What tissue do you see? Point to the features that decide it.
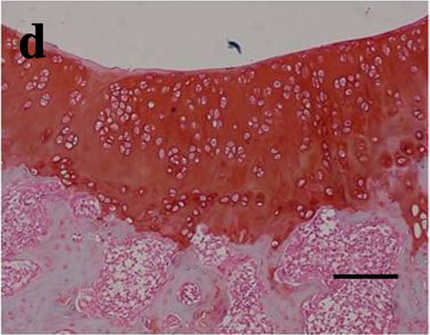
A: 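A band of orange-red stained matrix along a smooth free surface. Rounded cells sitting in clear lacunae within the matrix, many in small groups. Pale trabecular bone with marrow spaces beneath the red band. So: cartilage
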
